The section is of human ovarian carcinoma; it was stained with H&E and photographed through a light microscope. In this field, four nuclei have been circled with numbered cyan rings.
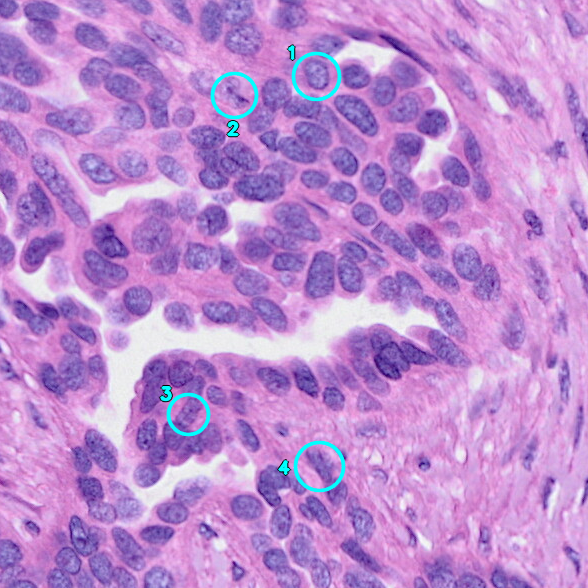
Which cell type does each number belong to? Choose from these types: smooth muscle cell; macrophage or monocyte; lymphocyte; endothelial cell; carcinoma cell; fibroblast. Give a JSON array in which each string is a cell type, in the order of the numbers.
["carcinoma cell", "fibroblast", "carcinoma cell", "fibroblast"]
